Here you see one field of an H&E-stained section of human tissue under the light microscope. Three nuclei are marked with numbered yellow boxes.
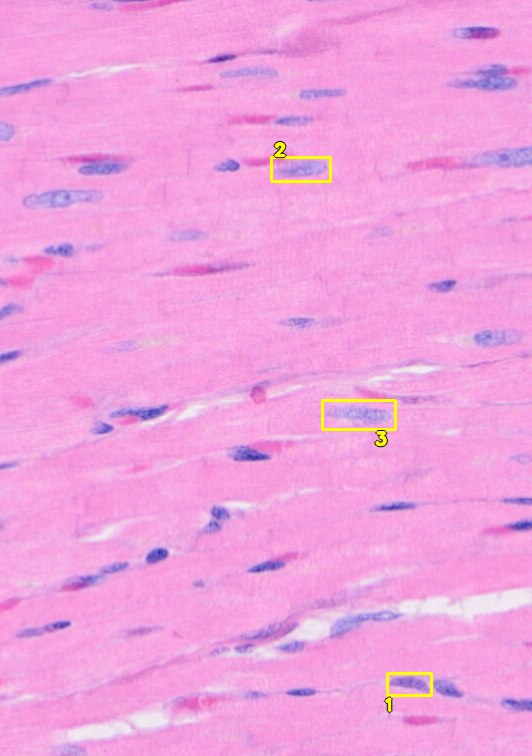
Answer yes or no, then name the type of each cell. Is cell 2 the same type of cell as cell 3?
Yes, briefly put, cells 2 and 3 are both cardiomyocytes.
